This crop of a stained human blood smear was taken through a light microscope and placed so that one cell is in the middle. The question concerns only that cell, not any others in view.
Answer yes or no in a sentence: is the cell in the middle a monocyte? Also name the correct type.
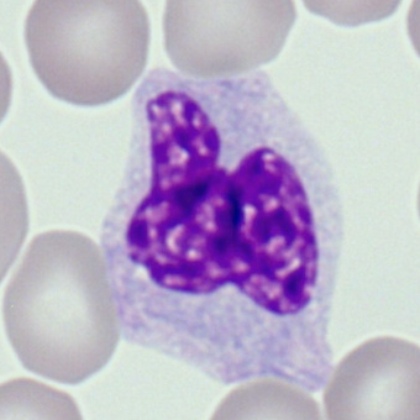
Yes, the cell that lies centrally is a monocyte.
